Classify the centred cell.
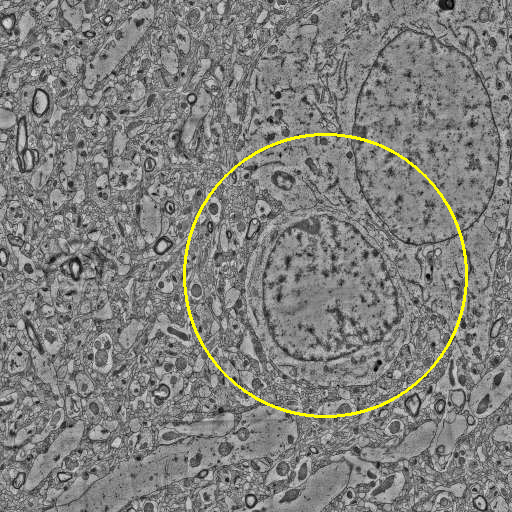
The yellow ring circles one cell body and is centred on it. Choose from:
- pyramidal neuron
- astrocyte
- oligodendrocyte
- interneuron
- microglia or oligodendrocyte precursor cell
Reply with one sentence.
The ring is centred on an interneuron.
